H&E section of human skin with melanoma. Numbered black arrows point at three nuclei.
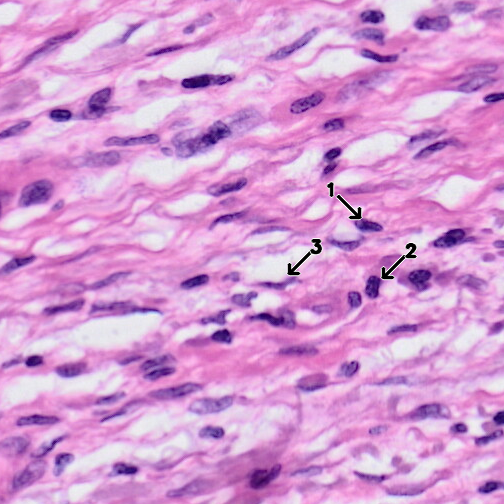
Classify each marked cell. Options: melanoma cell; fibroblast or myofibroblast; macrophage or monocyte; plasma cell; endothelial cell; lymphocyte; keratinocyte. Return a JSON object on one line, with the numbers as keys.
{"1": "lymphocyte", "2": "plasma cell", "3": "fibroblast or myofibroblast"}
